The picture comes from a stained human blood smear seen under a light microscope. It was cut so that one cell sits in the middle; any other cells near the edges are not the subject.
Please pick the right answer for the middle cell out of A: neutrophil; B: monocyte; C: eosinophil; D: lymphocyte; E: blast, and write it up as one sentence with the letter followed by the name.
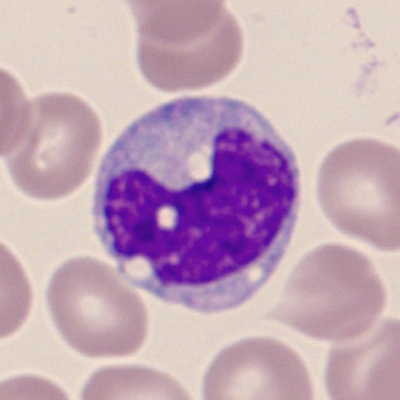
The cell at the centre, correctly named in option B, is a monocyte.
